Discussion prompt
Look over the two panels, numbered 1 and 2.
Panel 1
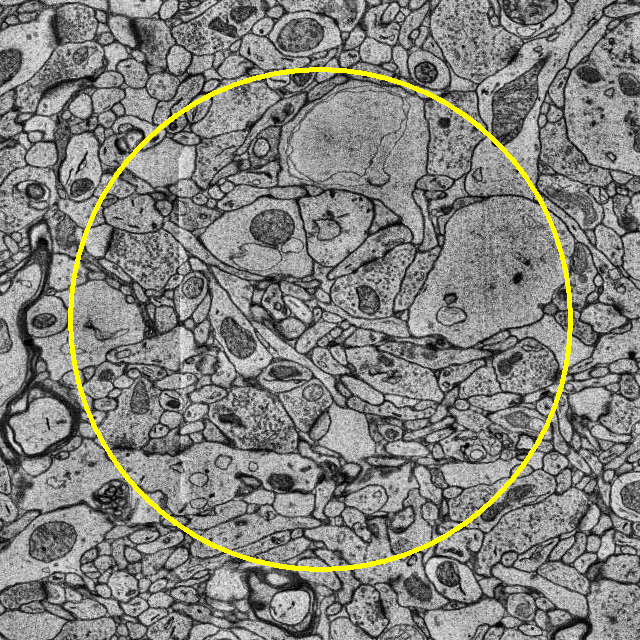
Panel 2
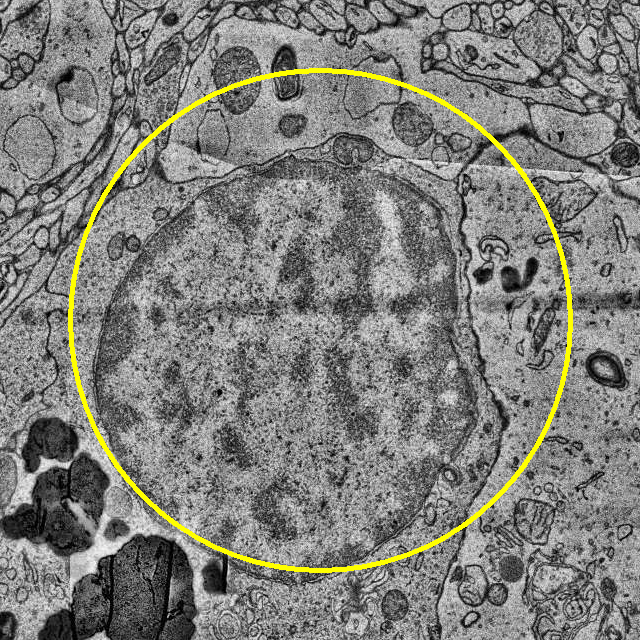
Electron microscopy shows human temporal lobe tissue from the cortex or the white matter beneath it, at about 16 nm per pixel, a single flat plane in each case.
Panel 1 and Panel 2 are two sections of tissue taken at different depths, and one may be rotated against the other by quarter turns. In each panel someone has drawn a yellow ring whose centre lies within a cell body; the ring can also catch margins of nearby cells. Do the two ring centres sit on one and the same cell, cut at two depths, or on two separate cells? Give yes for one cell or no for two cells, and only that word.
yes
